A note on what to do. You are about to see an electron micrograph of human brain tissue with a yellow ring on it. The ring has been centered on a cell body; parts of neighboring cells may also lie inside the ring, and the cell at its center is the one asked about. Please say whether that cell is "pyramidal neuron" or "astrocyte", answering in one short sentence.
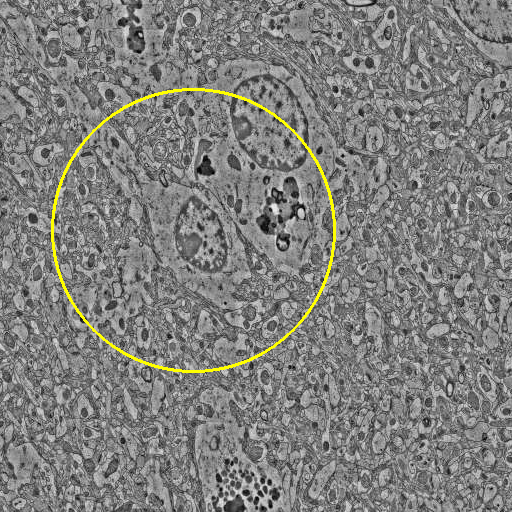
The yellow ring sits on an astrocyte.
